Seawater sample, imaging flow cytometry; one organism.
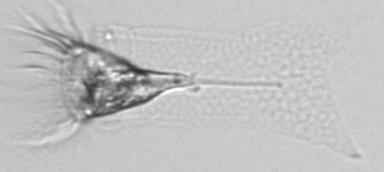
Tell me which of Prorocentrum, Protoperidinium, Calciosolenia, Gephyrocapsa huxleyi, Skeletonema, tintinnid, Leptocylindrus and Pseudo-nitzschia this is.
The picture shows a tintinnid.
